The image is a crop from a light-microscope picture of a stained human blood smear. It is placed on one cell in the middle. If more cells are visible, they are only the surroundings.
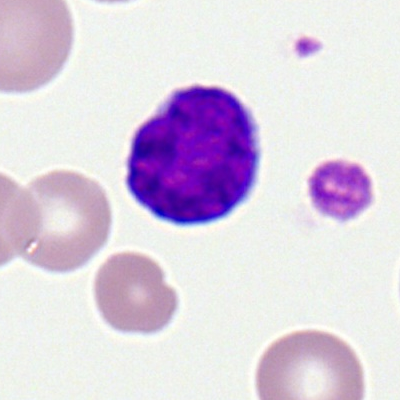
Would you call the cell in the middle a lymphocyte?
yes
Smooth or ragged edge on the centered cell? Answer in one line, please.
Smooth outline, no projections: that is the whole story of its edge.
